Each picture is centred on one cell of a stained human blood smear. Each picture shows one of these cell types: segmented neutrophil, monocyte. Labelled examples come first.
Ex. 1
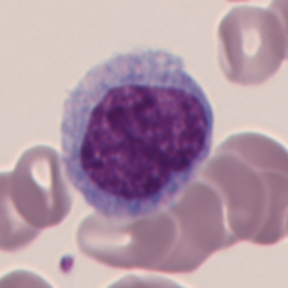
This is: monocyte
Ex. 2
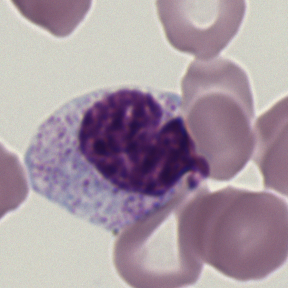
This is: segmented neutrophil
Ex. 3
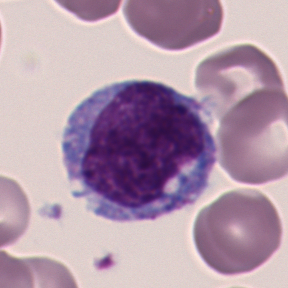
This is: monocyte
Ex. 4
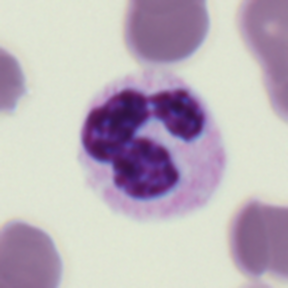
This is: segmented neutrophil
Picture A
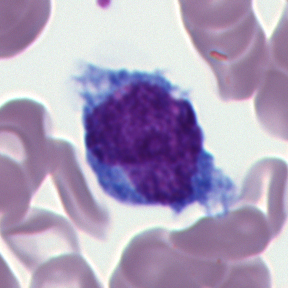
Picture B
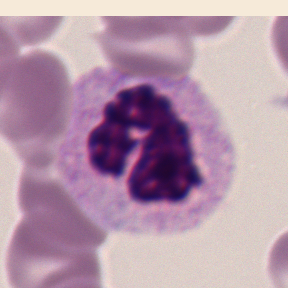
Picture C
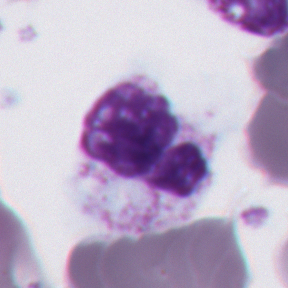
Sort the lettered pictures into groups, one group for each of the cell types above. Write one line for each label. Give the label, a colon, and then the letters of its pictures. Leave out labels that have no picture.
segmented neutrophil: B, C
monocyte: A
